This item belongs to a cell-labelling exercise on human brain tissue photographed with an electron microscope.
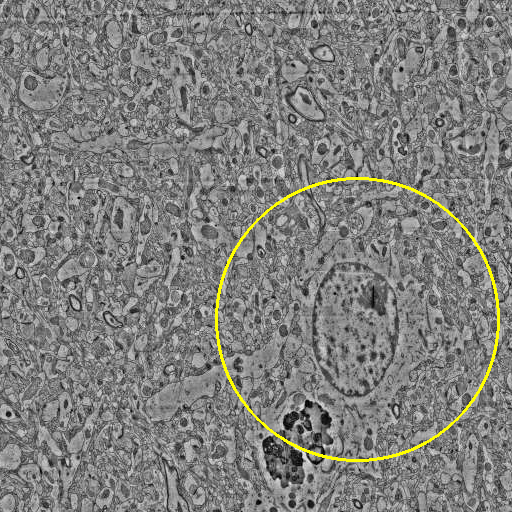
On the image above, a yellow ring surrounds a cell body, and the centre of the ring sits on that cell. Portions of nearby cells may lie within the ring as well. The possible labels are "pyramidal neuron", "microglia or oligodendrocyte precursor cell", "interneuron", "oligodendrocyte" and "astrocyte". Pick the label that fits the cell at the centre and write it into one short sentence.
This cell should be labelled as an astrocyte.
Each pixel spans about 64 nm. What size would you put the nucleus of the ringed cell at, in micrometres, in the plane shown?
The ringed cell's nucleus is roughly 8 by 6 micrometres and clearly longer than it is wide in this plane.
